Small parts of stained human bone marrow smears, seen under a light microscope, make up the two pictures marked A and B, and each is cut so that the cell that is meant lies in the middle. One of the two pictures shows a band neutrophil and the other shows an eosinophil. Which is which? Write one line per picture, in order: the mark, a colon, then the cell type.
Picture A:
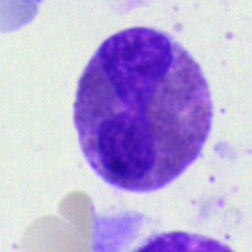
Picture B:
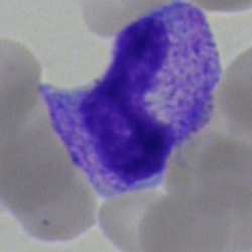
A: eosinophil
B: band neutrophil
